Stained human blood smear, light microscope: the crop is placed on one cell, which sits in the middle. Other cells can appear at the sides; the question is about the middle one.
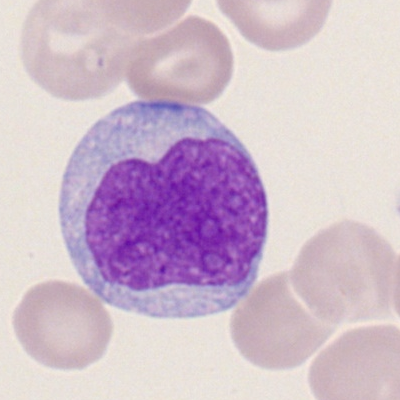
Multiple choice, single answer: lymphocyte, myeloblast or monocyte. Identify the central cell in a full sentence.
On this slide crop, the central cell is a myeloblast.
